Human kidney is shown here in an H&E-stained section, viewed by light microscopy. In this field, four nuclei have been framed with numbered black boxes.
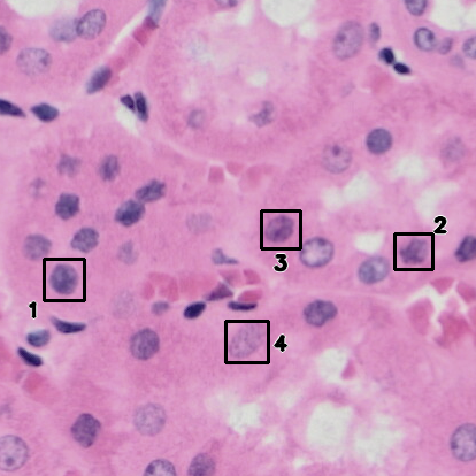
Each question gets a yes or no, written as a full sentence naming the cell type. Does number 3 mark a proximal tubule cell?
Yes, the cell marked by the number 3 is a proximal tubule cell.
